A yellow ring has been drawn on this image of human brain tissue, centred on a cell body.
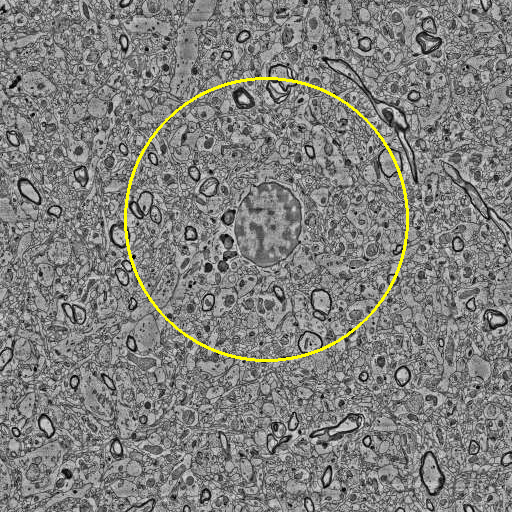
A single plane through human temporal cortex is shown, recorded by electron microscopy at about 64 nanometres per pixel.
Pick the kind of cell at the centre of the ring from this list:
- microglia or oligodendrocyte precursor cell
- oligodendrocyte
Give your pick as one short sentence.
The centre of the ring holds a microglial cell or oligodendrocyte precursor cell.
